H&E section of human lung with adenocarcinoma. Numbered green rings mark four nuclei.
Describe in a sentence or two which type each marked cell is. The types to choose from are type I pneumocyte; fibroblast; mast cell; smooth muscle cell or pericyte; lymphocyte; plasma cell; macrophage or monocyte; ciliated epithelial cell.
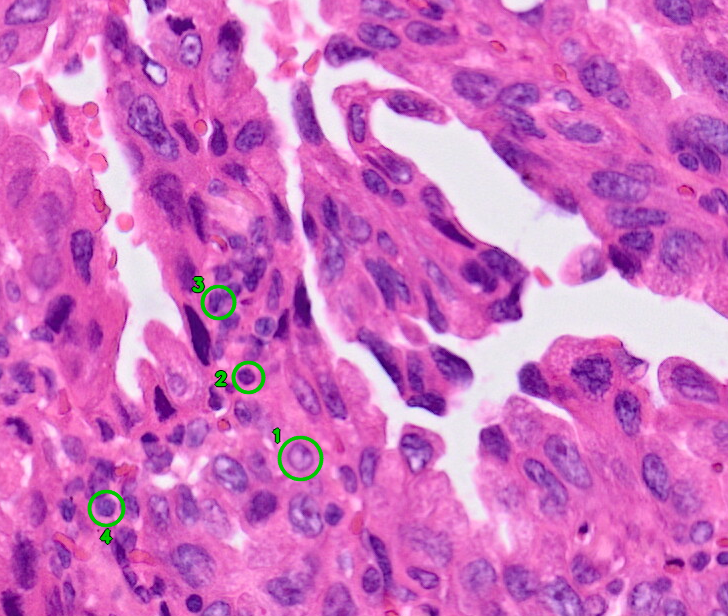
Cell 1 is a macrophage or monocyte, cell 2 is a lymphocyte, cell 3 is a lymphocyte and cell 4 is a lymphocyte.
